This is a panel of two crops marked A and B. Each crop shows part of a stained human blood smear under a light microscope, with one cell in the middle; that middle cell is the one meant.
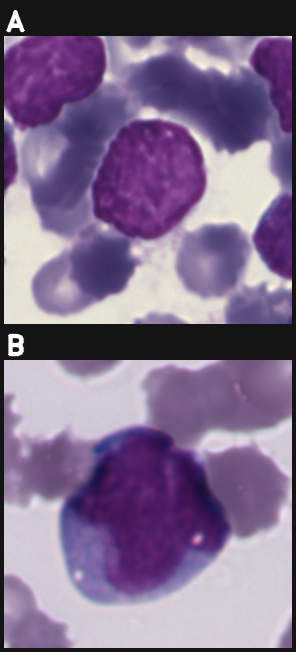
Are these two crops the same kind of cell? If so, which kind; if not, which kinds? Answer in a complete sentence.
No, a myeloblast is in crop B, and a smudge cell is in crop A.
